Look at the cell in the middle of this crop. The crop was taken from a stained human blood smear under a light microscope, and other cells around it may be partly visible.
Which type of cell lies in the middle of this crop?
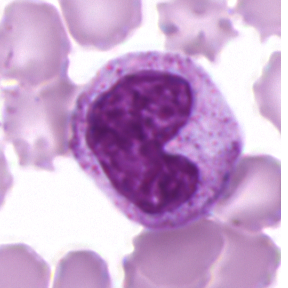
metamyelocyte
